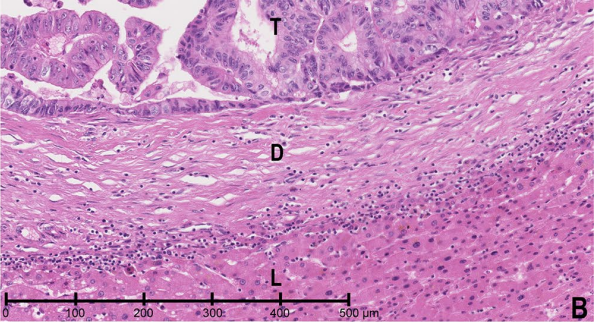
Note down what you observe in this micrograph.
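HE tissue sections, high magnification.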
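Tumour glands lined by tall columnar cells with crowded, elongated, layered dark nuclei sit at the top, around irregular lumina. Beneath them a band of pale pink fibrous stroma with spindle-shaped nuclei and scattered small dark inflammatory cells, most dense at its lower edge, separates the tumour from liver tissue. At the bottom lie hepatocytes with pink cytoplasm and round nuclei.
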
